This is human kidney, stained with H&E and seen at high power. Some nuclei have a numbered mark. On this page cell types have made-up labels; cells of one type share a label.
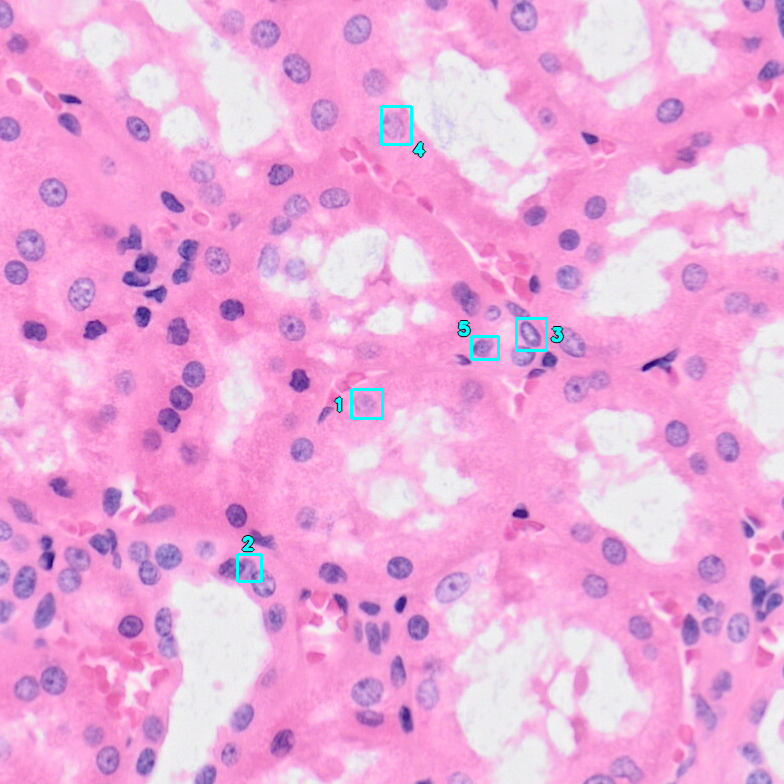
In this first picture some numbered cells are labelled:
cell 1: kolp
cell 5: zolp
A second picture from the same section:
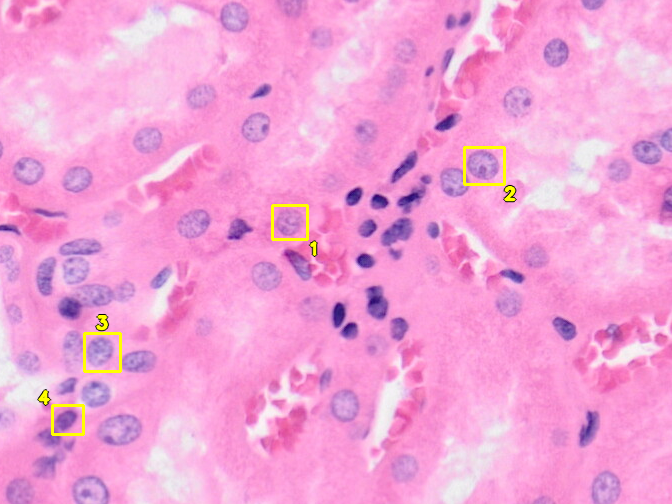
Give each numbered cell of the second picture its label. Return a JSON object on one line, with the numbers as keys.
{"1": "kolp", "2": "kolp", "3": "zolp", "4": "zolp"}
